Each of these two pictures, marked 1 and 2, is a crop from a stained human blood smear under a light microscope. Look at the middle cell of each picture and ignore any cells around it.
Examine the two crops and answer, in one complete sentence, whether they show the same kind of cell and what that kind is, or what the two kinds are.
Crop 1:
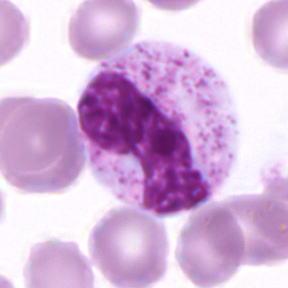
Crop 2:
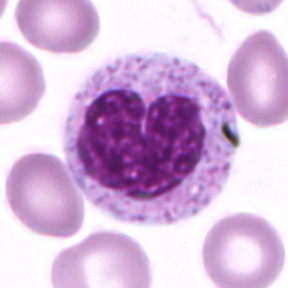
Yes, band neutrophils are depicted in both crops.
